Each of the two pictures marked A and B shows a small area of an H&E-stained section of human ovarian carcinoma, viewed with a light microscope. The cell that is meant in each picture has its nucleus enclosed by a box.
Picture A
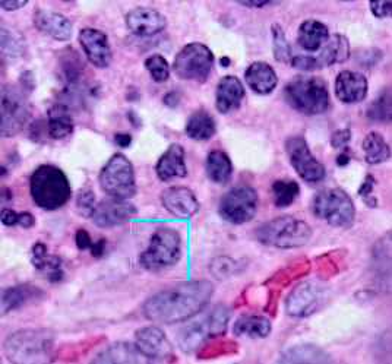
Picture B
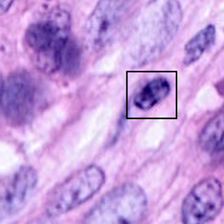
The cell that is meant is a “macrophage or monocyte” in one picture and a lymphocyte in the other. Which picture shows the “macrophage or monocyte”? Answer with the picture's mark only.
A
